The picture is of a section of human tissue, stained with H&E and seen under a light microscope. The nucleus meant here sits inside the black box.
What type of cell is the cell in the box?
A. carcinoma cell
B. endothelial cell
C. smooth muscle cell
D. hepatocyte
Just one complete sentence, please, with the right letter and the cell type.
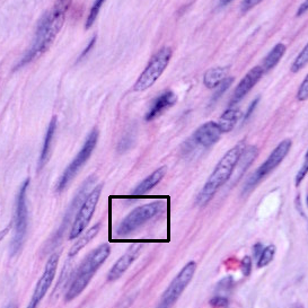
Option C is correct; the cell in the box is a smooth muscle cell.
